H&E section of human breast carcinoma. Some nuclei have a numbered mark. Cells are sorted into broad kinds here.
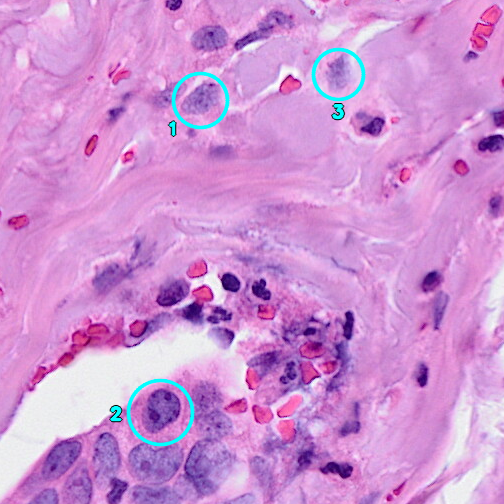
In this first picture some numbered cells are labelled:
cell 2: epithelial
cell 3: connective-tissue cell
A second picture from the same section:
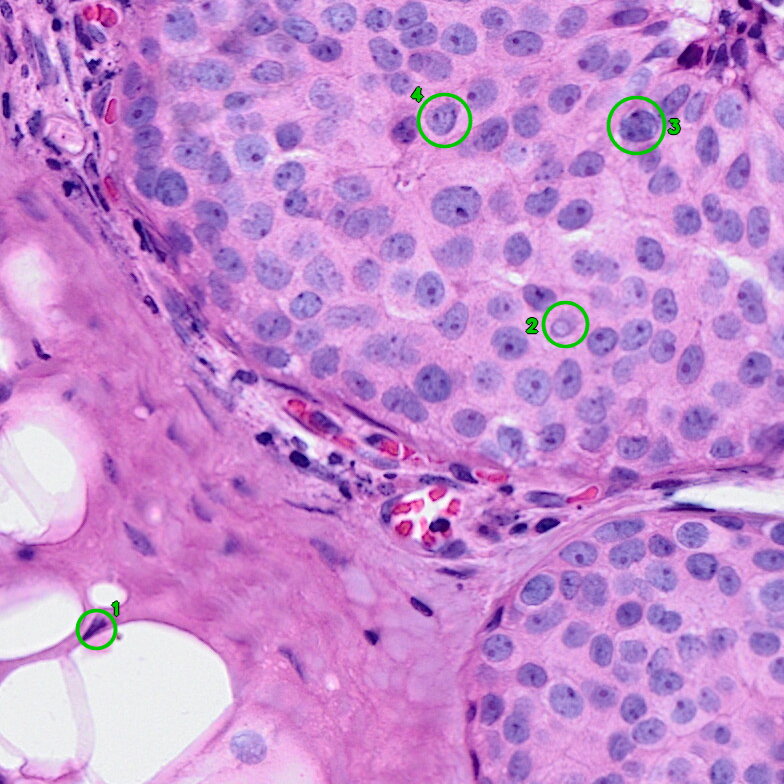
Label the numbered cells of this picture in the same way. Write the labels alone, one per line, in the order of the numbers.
connective-tissue cell
epithelial
epithelial
epithelial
